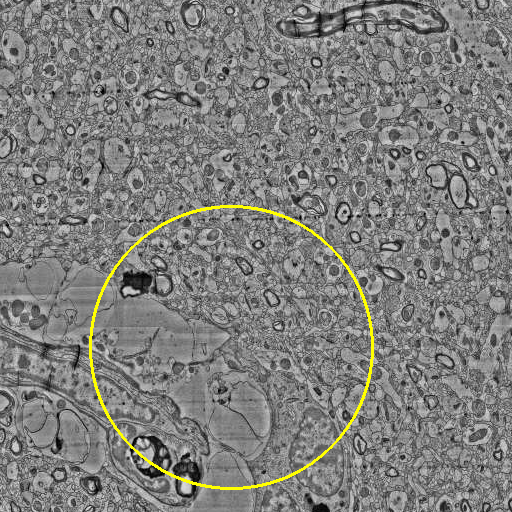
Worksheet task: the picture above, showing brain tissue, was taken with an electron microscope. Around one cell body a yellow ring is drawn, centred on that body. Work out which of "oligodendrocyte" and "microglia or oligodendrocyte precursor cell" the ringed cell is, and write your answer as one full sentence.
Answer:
It is an oligodendrocyte whose cell body lies at the centre of the yellow ring.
